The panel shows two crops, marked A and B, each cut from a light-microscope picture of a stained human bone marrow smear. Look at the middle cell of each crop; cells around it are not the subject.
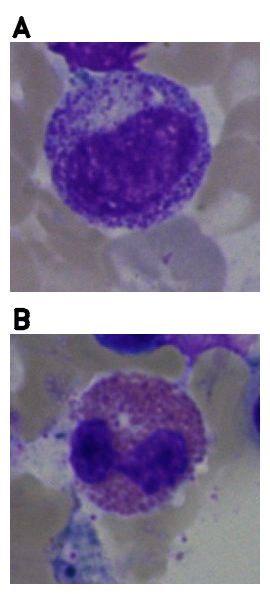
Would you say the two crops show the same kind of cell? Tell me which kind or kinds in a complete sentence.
No, crop A should be called a myelocyte, and crop B should be called an eosinophil.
